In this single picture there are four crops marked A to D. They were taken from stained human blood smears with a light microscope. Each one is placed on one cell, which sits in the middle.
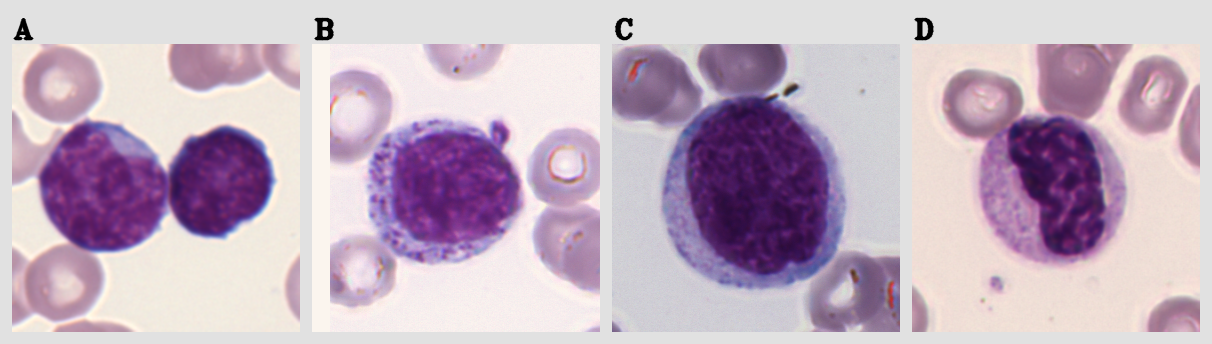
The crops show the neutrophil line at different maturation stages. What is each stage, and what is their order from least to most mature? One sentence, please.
By increasing maturity, the cells should be ordered crop A (a myeloblast), crop C (a promyelocyte), crop B (a myelocyte) and crop D (a metamyelocyte).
